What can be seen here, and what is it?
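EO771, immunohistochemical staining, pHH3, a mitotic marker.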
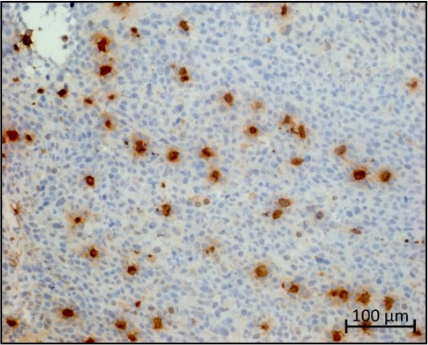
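This is a section of breast cancer tissue made of densely packed tumour cells lying in solid sheets. Most cells have round to oval blue nuclei with scant, pale cytoplasm and indistinct cell borders. Scattered among them, singly or in small groups, are cells whose nuclei are stained an intense brown, standing out sharply from the blue background. A small empty space lies at the upper left corner of the field.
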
